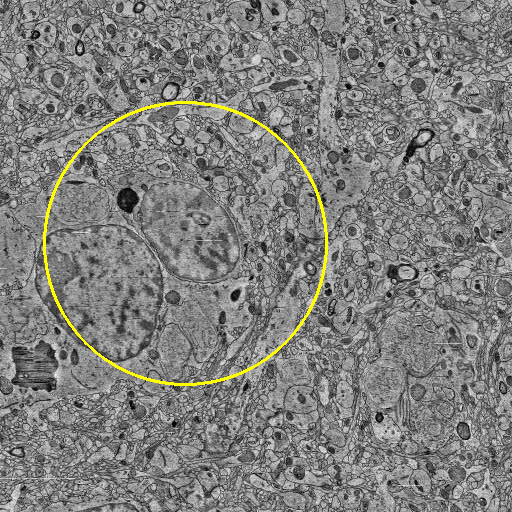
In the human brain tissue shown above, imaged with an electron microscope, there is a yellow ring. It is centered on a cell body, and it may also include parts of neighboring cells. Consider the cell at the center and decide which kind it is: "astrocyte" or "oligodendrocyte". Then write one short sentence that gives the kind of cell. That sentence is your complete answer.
This centered cell body is that of an oligodendrocyte.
